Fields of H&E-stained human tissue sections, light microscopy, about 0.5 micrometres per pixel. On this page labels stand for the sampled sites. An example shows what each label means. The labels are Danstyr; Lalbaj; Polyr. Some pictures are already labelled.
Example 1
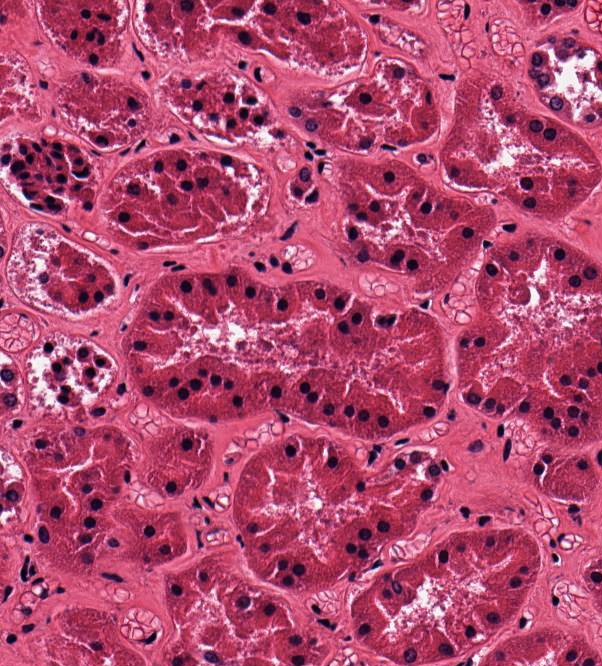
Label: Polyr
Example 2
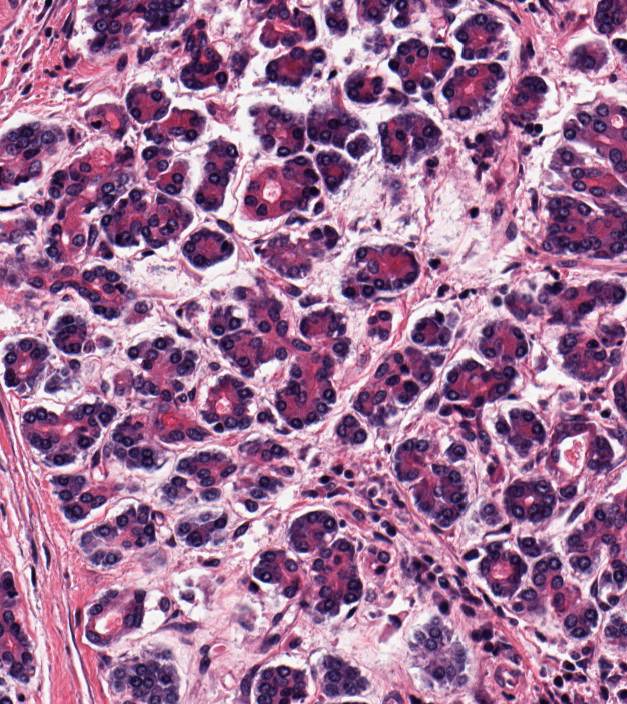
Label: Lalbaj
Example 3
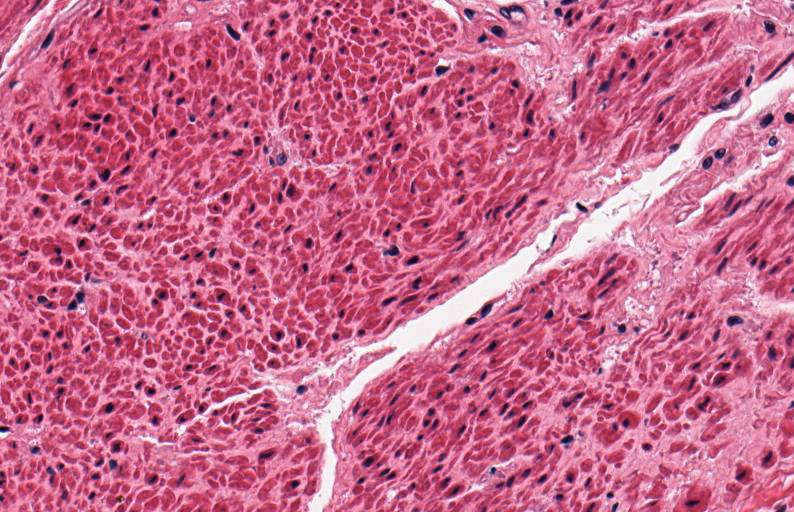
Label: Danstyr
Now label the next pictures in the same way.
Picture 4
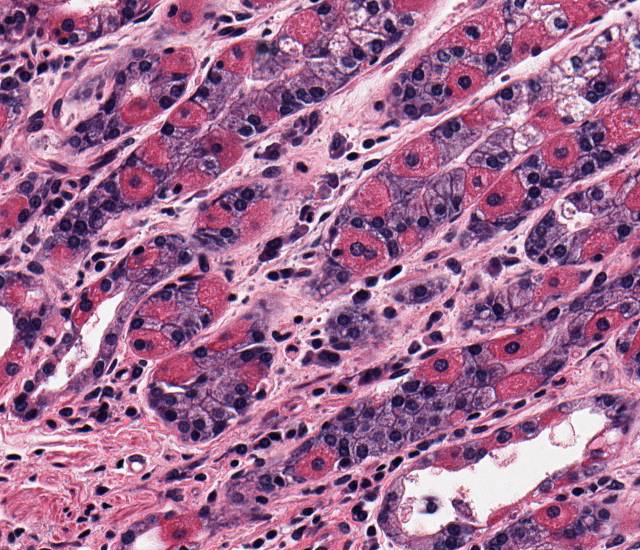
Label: Danstyr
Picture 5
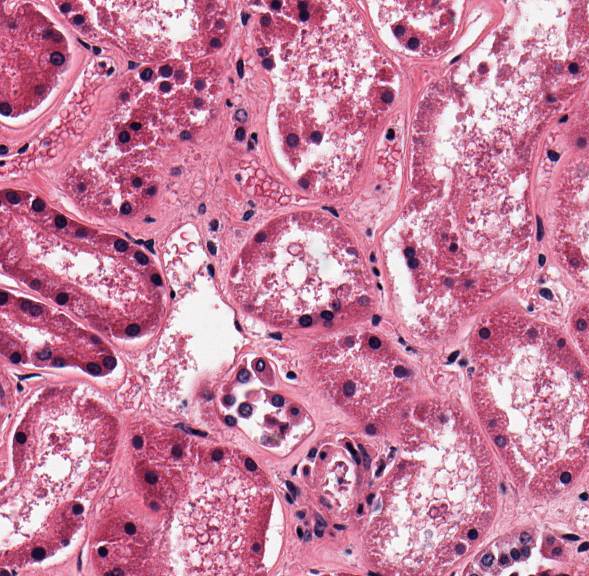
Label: Polyr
